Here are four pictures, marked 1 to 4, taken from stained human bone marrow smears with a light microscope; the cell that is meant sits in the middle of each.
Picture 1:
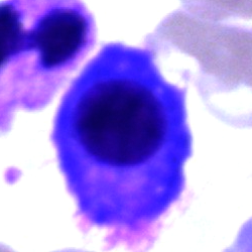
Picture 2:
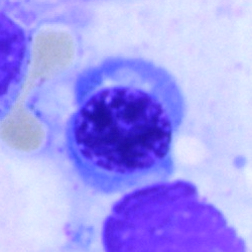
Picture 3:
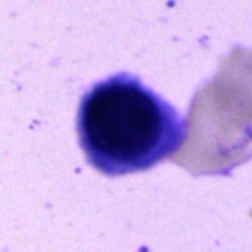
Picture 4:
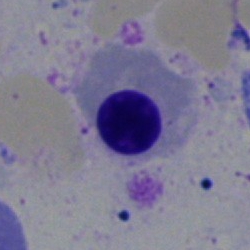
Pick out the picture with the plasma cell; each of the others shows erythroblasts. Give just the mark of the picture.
1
